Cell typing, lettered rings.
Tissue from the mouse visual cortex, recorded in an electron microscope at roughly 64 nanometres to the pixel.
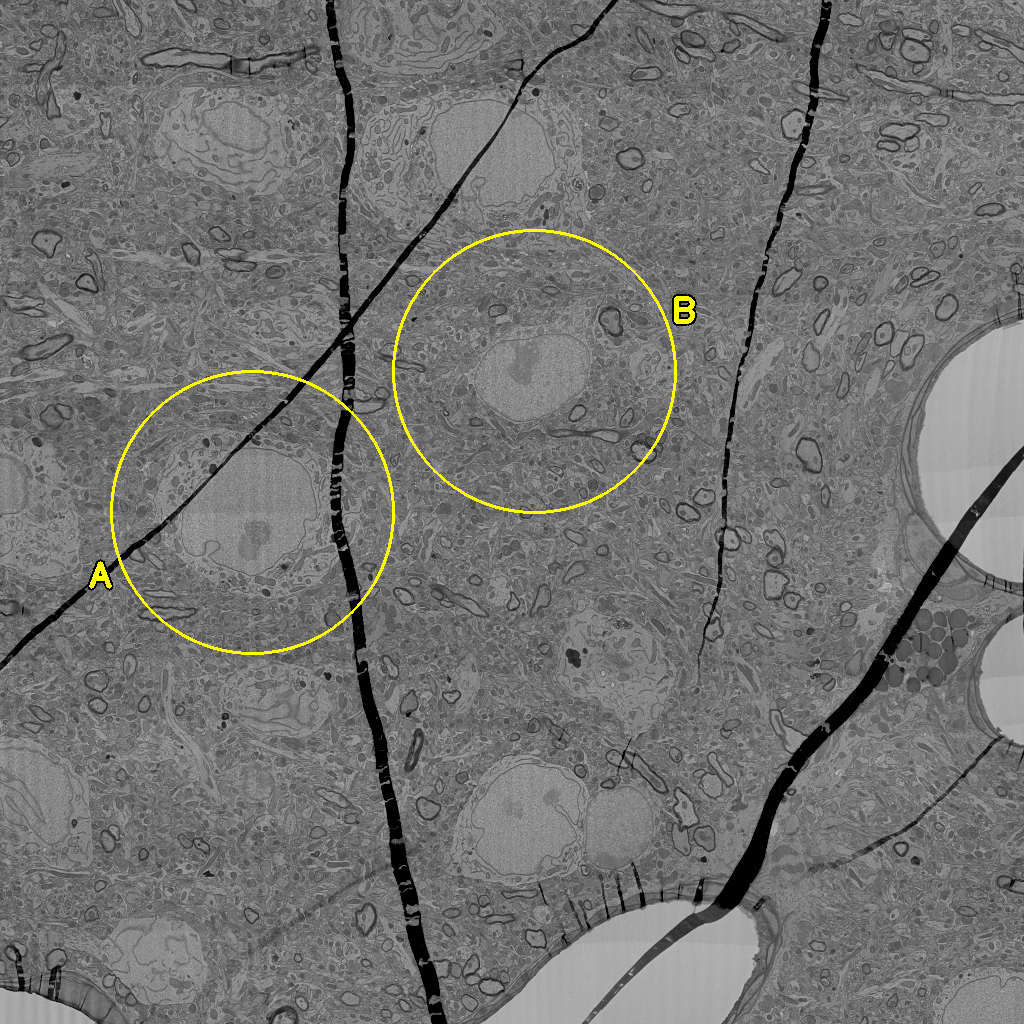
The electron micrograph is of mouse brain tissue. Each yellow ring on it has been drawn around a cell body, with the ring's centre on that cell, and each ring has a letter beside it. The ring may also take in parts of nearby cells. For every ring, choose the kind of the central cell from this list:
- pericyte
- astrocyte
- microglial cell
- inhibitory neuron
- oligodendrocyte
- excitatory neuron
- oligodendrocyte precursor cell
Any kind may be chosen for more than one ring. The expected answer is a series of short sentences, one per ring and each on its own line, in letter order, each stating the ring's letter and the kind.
For ring A, the centred cell is an inhibitory neuron.
For ring B, the centred cell is an astrocyte.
